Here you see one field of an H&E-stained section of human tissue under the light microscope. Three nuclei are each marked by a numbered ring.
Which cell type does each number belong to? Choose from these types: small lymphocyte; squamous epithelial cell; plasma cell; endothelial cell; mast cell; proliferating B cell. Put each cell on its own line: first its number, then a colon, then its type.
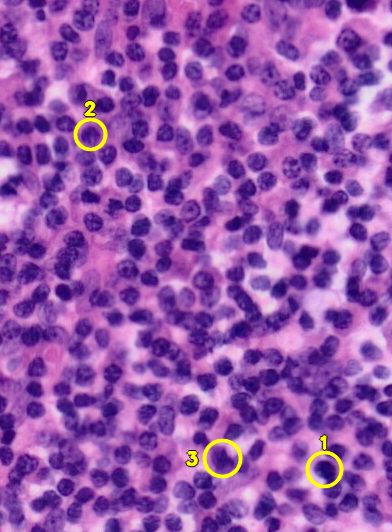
1: small lymphocyte
2: plasma cell
3: proliferating B cell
